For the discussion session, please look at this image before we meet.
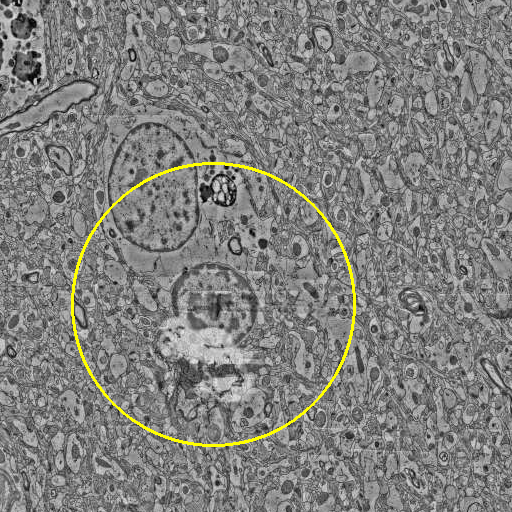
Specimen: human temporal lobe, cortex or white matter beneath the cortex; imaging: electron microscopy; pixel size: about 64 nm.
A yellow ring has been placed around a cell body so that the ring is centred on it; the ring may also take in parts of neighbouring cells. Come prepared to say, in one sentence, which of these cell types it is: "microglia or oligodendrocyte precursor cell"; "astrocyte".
The cell centred in the ring is a microglial cell or oligodendrocyte precursor cell.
